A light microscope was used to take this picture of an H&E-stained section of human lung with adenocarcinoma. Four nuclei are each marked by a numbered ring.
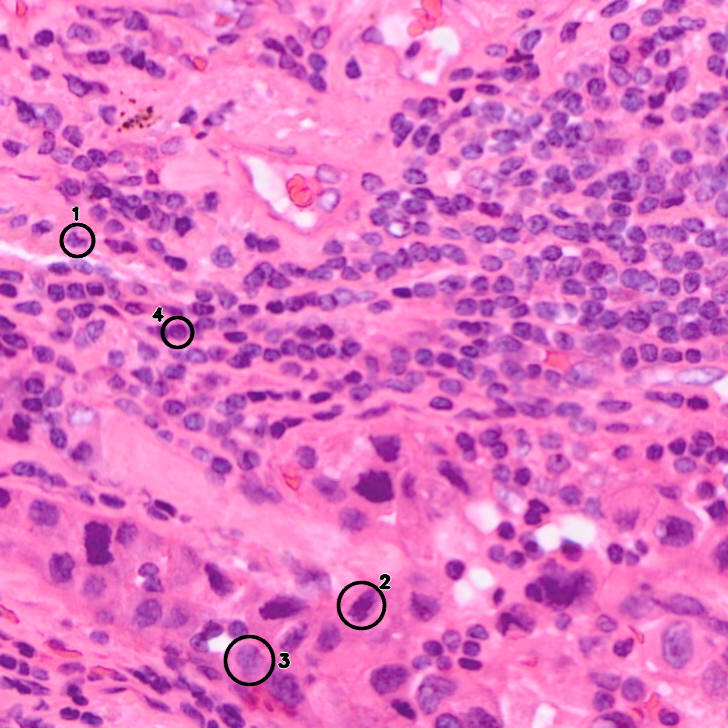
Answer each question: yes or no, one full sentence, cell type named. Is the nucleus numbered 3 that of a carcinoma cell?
Yes, cell 3 among the marked cells is a carcinoma cell.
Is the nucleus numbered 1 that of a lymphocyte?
Yes, it checks out; the cell labelled 1 is a lymphocyte.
